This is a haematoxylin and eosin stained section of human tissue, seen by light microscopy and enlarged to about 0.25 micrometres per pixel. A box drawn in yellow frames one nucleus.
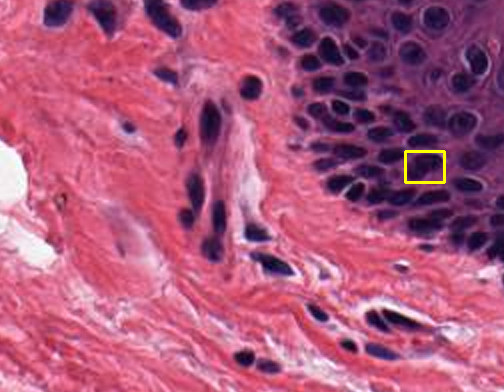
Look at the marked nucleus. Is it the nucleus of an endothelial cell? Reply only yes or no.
no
